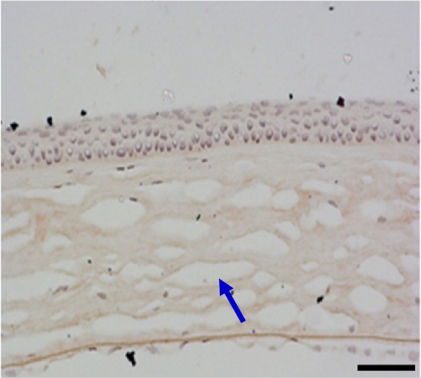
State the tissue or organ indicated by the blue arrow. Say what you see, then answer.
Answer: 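The arrow points into the thick layer of pale, layered fibers beneath the thin cellular surface layer. The fibers lie in parallel sheets separated by clear gaps. Few nuclei lie within this layer. That points to this answer: corneal stroma.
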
